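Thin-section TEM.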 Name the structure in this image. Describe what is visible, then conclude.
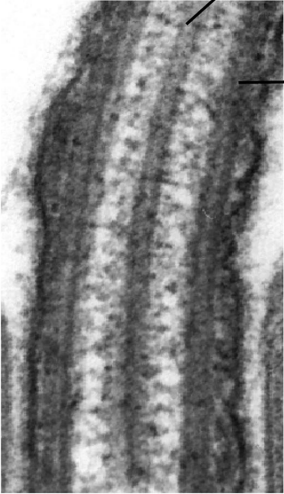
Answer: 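Periodic projections. Long parallel dense tubular profiles run lengthwise. Regularly spaced small densities stud the sides of the tubules.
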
